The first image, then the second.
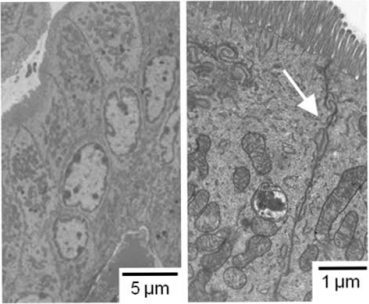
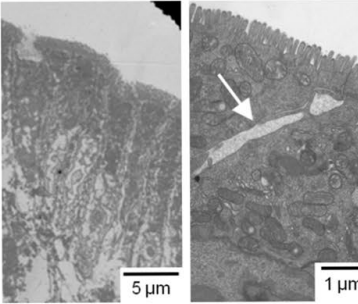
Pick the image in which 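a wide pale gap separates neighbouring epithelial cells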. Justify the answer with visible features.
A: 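The second image. Second image: a long electron-lucent gap lies between two adjacent cells. First image: adjacent cell membranes run as a thin, closely apposed dark line without a gap.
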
